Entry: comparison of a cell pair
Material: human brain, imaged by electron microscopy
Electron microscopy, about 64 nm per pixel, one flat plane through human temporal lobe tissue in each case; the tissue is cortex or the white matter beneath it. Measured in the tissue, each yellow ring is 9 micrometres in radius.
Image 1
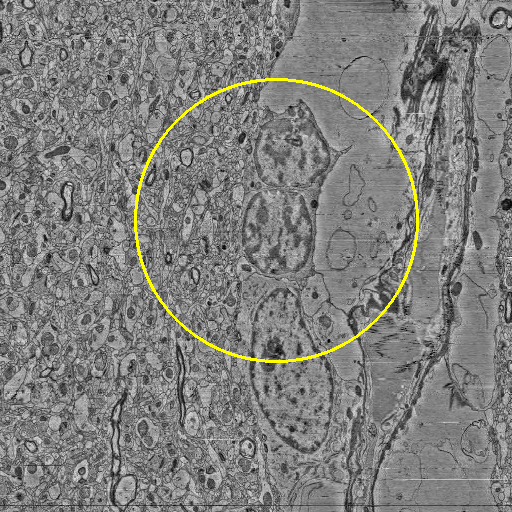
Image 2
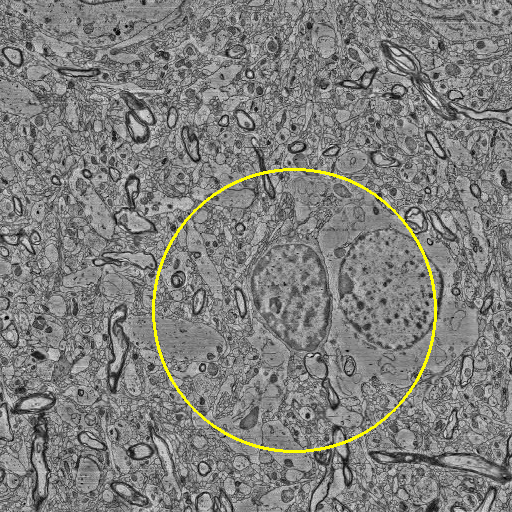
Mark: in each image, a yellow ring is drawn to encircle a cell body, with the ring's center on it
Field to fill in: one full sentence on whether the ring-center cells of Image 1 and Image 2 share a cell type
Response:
Yes, Image 1 and Image 2 each show a ring-center cell of one shared type.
